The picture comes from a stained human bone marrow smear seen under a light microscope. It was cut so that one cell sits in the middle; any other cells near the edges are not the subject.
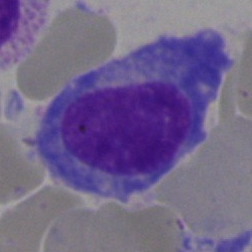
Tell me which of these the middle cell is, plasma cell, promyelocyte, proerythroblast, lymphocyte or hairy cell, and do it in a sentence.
The central cell in this smear crop is a plasma cell.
